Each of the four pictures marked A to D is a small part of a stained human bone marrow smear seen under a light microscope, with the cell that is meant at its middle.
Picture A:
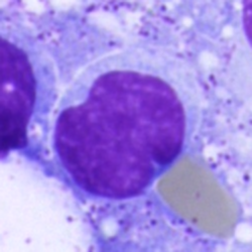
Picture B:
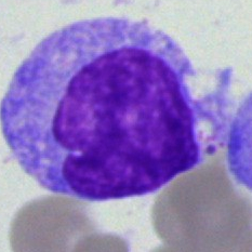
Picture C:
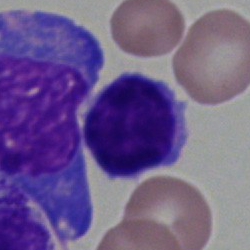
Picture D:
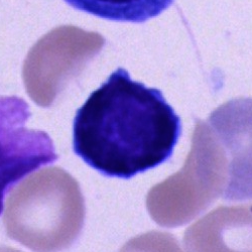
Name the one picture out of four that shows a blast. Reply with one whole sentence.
Picture A is the one that shows the blast.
